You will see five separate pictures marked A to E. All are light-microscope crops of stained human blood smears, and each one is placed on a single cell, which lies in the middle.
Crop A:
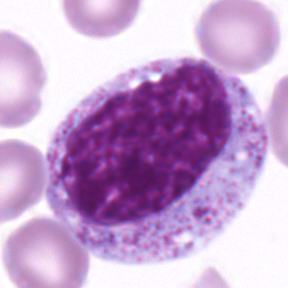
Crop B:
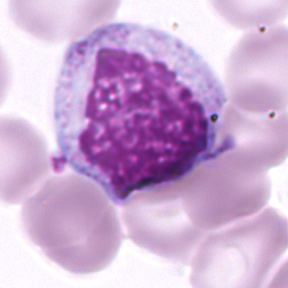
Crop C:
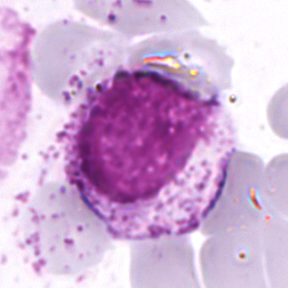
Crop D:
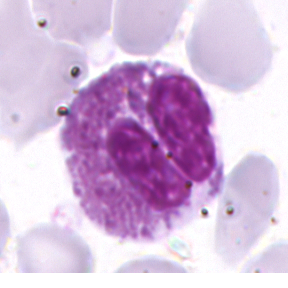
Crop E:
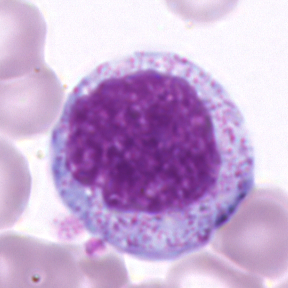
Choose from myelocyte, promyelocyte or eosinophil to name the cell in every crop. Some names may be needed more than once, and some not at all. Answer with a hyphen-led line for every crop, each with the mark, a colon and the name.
- A: promyelocyte
- B: myelocyte
- C: myelocyte
- D: eosinophil
- E: promyelocyte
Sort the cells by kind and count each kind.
promyelocyte: 2
myelocyte: 2
eosinophil: 1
